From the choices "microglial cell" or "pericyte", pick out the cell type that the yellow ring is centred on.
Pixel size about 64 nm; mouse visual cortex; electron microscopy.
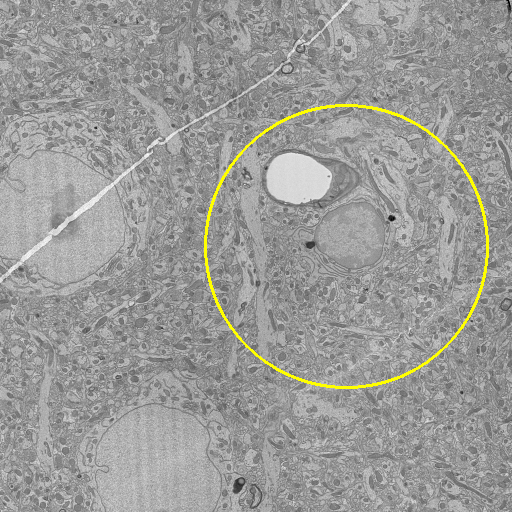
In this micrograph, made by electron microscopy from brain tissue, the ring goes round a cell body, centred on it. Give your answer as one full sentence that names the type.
The yellow ring is centred on a microglial cell, whose cell body it encircles in the picture.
